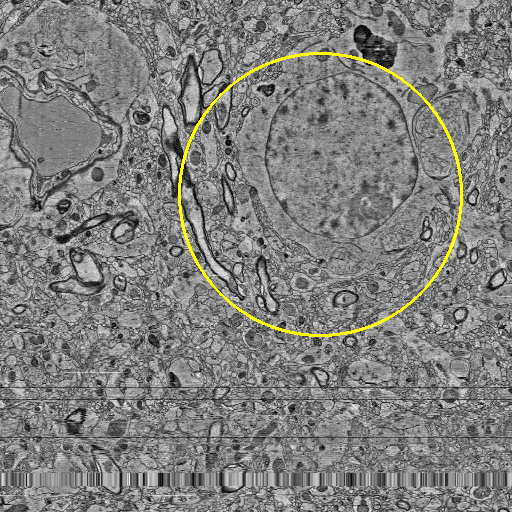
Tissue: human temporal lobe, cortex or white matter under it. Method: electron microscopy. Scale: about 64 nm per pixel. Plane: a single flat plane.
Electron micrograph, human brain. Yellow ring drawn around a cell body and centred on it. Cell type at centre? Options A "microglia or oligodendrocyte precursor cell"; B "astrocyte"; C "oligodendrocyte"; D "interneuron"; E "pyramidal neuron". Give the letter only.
B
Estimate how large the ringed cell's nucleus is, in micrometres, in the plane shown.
Approximately 12 by 10 micrometers in this plane.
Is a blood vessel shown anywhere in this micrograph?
Yes, one shows.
